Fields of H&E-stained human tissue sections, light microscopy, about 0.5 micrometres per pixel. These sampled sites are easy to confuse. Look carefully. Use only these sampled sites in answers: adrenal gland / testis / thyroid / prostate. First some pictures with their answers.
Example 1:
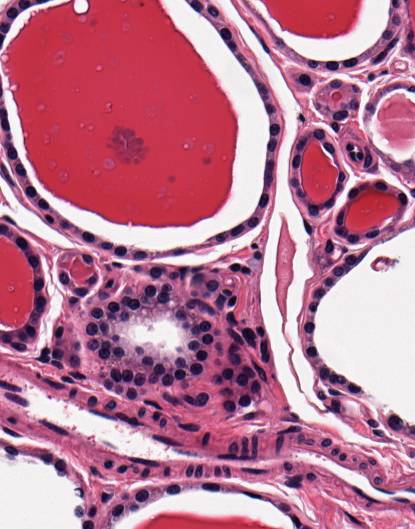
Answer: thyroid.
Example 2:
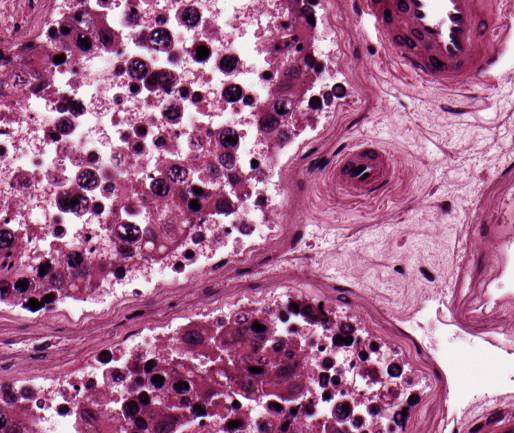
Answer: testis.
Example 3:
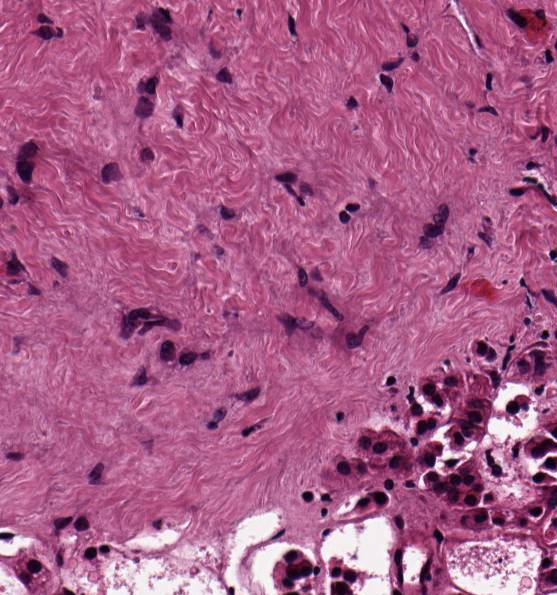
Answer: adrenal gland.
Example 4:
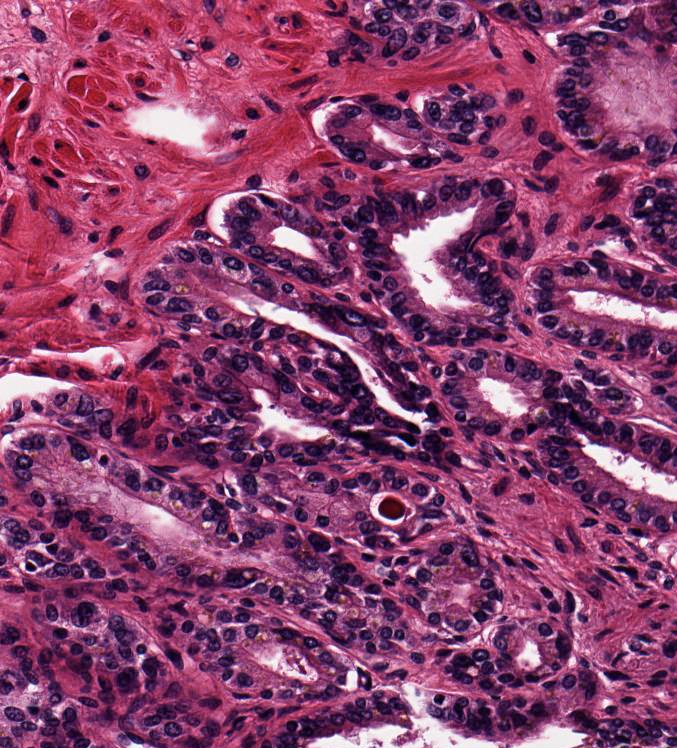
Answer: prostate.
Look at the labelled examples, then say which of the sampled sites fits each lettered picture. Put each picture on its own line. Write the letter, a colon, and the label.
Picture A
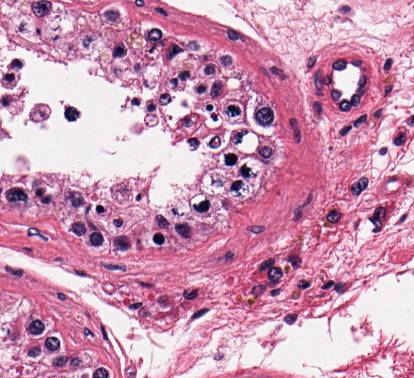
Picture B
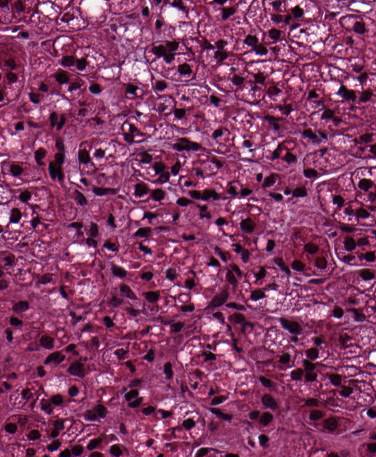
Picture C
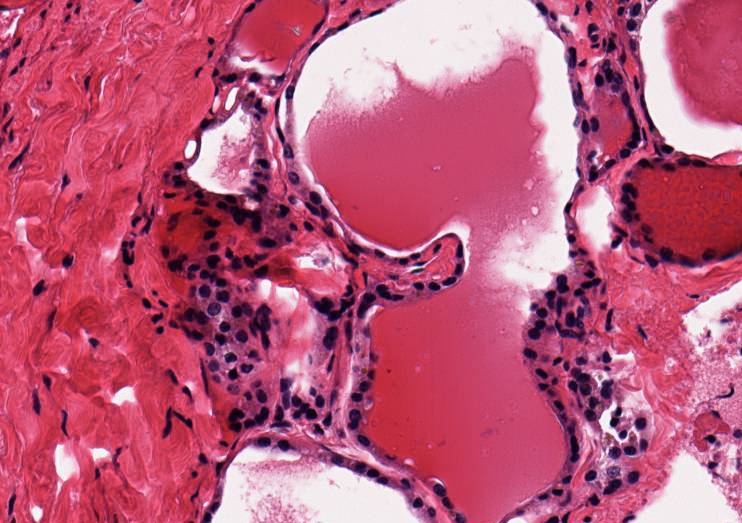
A: testis.
B: adrenal gland.
C: thyroid.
